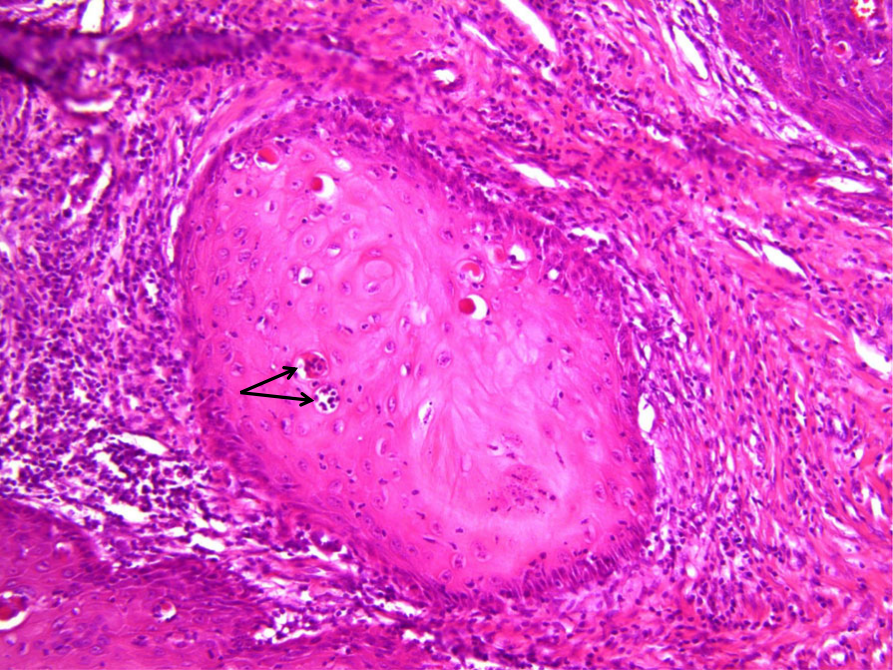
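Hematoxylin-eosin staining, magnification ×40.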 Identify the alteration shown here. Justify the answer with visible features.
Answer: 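A large rounded nest of epithelial cells with abundant glassy pink cytoplasm fills the center. The nuclei in the nest are small and fairly uniform. The nest is surrounded by cellular stroma.
Hence: highly differentiated tumor.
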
